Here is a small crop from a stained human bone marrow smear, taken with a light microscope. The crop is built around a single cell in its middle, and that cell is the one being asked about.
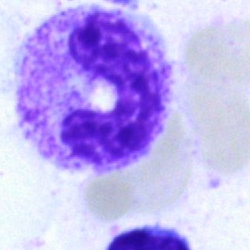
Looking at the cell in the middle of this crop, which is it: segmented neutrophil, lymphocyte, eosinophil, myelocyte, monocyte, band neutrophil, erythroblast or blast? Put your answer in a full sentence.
The cell positioned in the middle of the field is a band neutrophil.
